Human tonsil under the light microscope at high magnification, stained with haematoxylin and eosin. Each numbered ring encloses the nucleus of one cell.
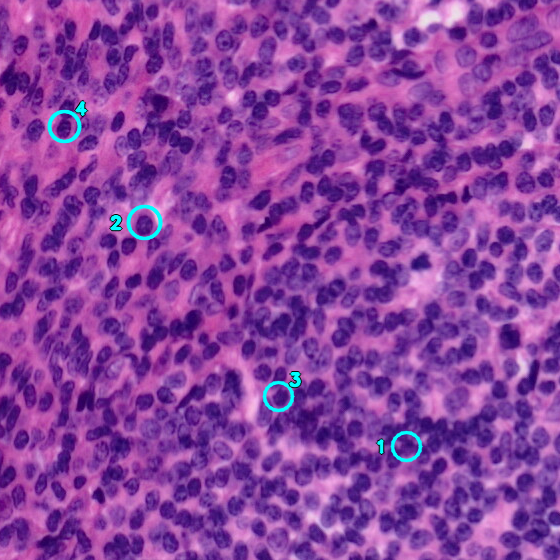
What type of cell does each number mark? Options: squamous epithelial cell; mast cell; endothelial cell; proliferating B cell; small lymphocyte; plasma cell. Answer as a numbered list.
1. small lymphocyte
2. plasma cell
3. small lymphocyte
4. plasma cell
